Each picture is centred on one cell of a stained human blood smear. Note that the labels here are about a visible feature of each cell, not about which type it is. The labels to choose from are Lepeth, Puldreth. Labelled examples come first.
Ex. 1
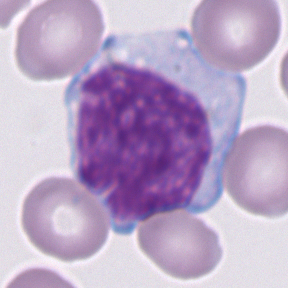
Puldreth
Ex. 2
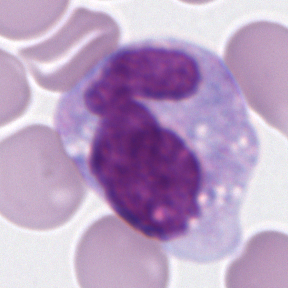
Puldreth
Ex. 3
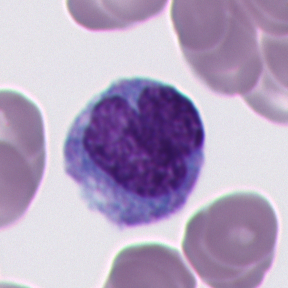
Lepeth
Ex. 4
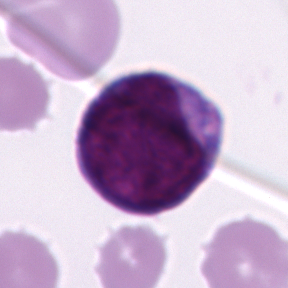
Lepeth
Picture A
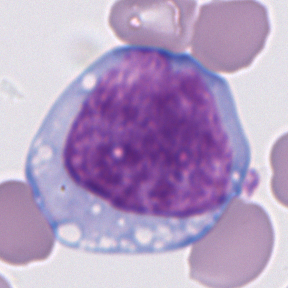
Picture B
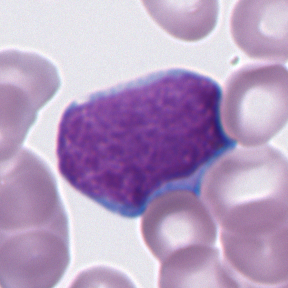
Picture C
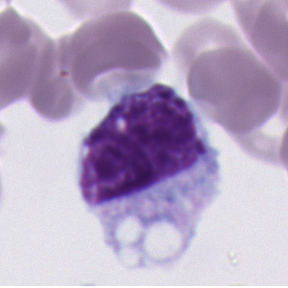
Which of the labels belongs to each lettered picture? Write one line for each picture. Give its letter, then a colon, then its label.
A: Puldreth
B: Lepeth
C: Puldreth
